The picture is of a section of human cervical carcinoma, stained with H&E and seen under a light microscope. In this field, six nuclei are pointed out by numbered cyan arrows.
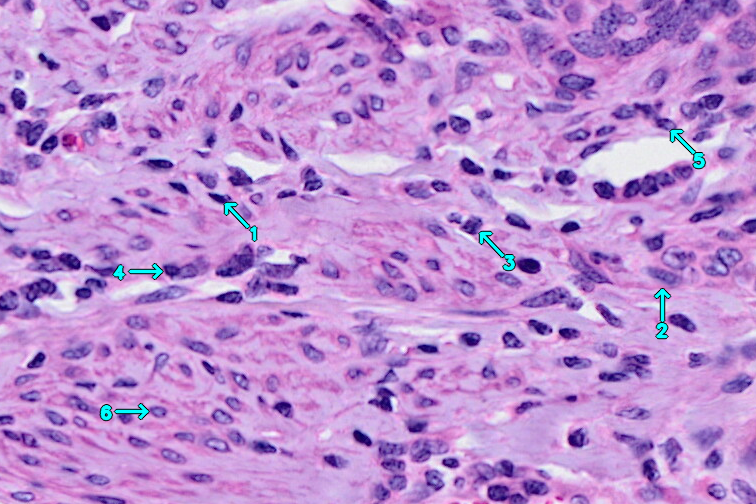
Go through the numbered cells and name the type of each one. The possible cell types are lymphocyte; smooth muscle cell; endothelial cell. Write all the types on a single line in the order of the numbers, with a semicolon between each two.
lymphocyte; endothelial cell; lymphocyte; lymphocyte; lymphocyte; smooth muscle cell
